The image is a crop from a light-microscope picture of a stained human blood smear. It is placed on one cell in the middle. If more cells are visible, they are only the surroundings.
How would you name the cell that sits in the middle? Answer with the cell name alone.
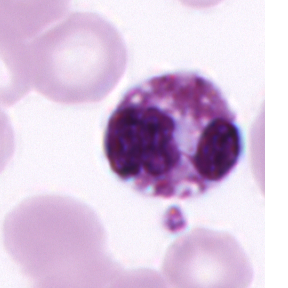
eosinophil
